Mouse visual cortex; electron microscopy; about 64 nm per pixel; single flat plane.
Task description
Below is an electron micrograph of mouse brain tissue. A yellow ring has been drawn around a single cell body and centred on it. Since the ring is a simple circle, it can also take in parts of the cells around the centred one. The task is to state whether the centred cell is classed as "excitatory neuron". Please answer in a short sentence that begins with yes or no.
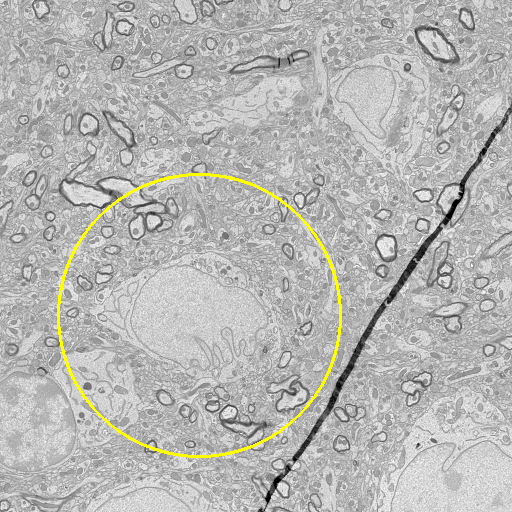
No, the centred cell is classed otherwise.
